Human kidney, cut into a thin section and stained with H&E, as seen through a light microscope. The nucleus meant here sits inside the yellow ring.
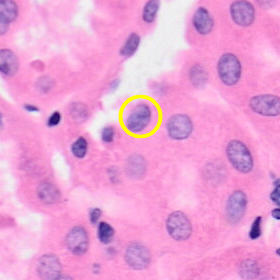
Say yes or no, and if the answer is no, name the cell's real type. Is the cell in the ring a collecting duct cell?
No, it is a loop of Henle or distal tubule cell.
